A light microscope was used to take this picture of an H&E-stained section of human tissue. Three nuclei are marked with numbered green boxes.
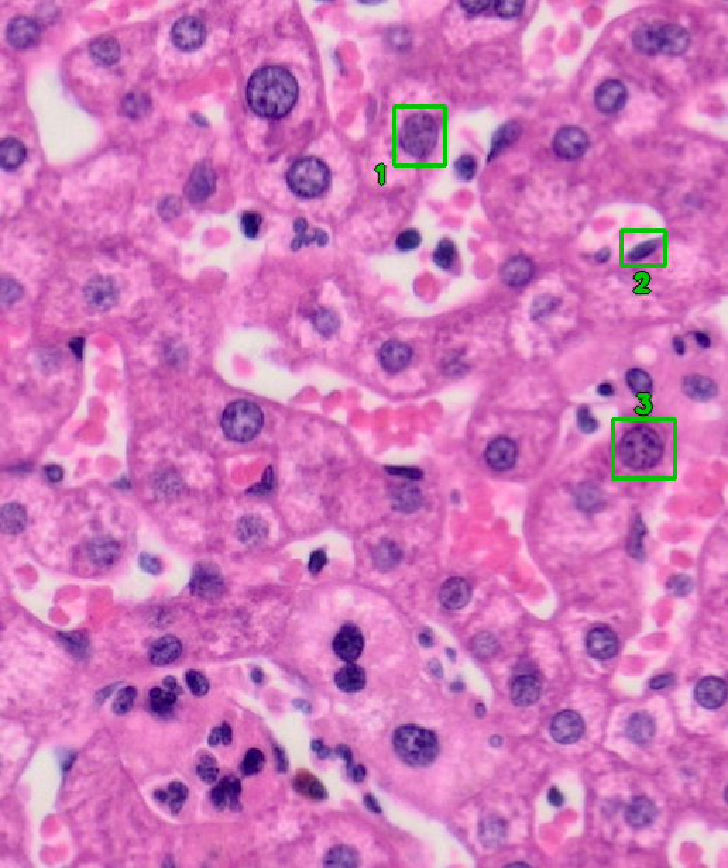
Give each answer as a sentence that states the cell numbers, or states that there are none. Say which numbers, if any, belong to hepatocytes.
The numbers 1 and 3 in this section indicate hepatocytes.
